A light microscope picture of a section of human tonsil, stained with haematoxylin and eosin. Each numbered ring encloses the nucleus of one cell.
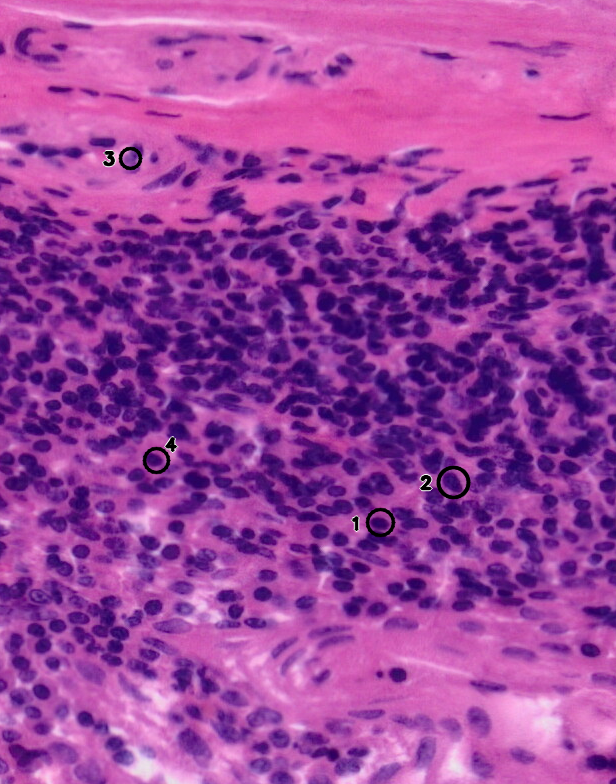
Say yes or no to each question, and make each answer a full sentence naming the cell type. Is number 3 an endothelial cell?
Yes, the cell indicated by number 3 is an endothelial cell.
